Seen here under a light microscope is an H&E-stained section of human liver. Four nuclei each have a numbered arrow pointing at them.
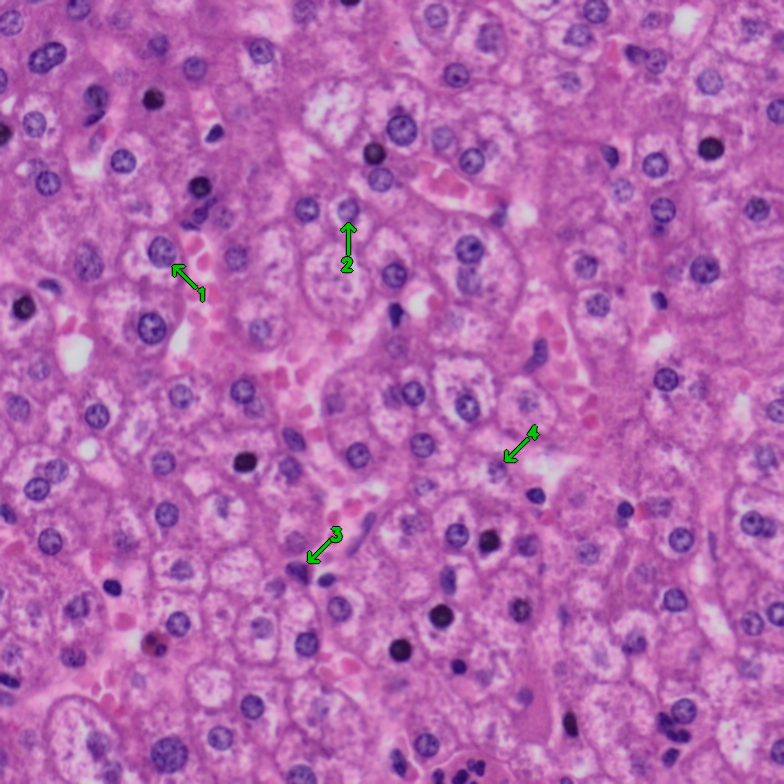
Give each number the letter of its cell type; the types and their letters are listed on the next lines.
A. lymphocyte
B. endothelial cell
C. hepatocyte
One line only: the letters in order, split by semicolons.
C; C; B; C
